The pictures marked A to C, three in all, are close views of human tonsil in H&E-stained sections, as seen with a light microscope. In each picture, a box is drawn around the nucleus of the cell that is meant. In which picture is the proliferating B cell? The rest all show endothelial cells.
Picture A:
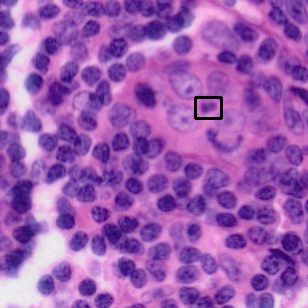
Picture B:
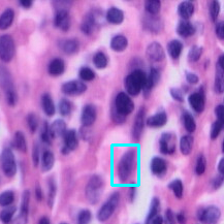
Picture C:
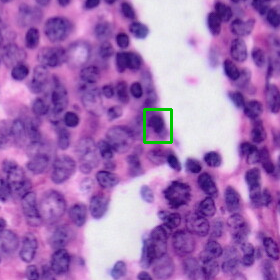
C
